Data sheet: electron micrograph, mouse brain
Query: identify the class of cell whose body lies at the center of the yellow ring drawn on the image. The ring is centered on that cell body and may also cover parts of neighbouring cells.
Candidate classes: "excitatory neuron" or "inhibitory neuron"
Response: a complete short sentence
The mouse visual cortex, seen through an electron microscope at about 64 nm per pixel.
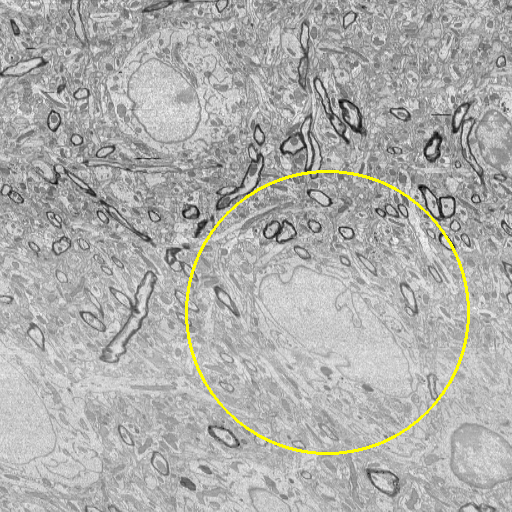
At the center of the ring lies an inhibitory neuron.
